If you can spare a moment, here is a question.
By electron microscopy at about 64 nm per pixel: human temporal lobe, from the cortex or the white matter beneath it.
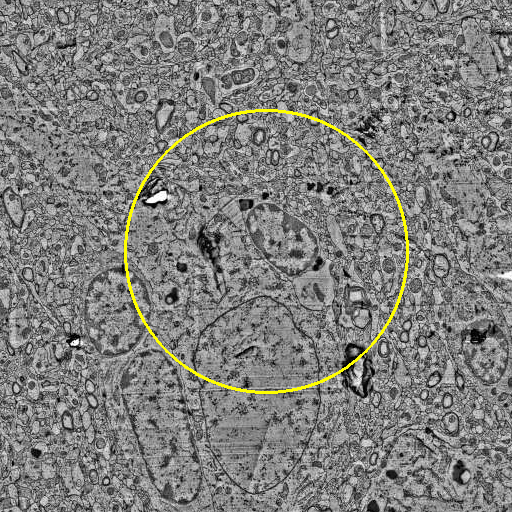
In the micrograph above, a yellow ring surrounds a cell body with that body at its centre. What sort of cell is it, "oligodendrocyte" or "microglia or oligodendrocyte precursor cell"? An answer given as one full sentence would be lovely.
Centred inside the yellow ring, the cell body shown belongs to a microglial cell or oligodendrocyte precursor cell in this micrograph.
